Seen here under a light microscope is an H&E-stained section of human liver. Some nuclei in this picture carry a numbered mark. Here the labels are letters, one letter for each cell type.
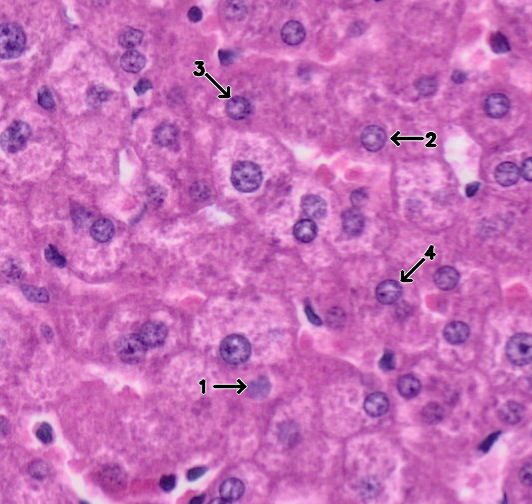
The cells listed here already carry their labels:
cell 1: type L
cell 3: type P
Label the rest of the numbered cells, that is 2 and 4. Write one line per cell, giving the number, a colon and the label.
2: type P
4: type P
